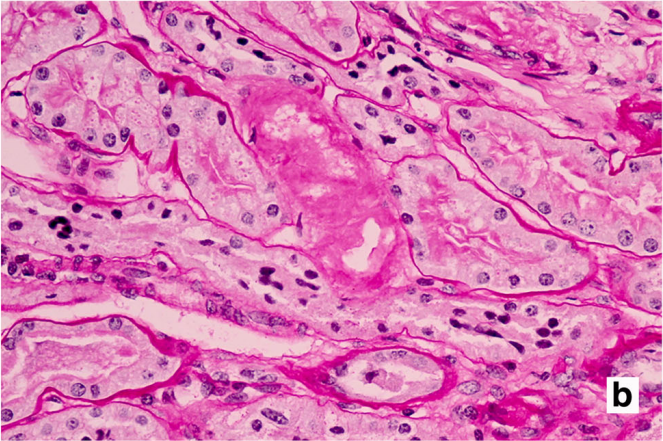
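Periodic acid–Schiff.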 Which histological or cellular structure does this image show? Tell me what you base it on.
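Arteriolar wall. A small vessel in the centre has a slit-like lumen. Its wall is thickened by pale pink, homogeneous, acellular material. Tubules with cuboidal epithelium surround it.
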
